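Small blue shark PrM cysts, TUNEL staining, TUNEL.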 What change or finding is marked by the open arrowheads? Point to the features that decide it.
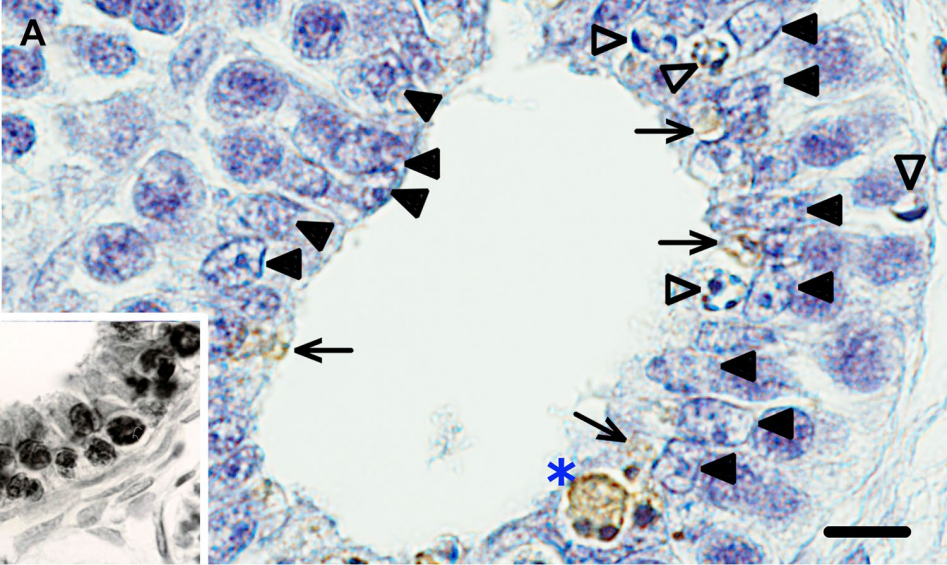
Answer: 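Small rounded bodies near the lumen marked by open arrowheads. On this evidence: classic apoptotic morphologies.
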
